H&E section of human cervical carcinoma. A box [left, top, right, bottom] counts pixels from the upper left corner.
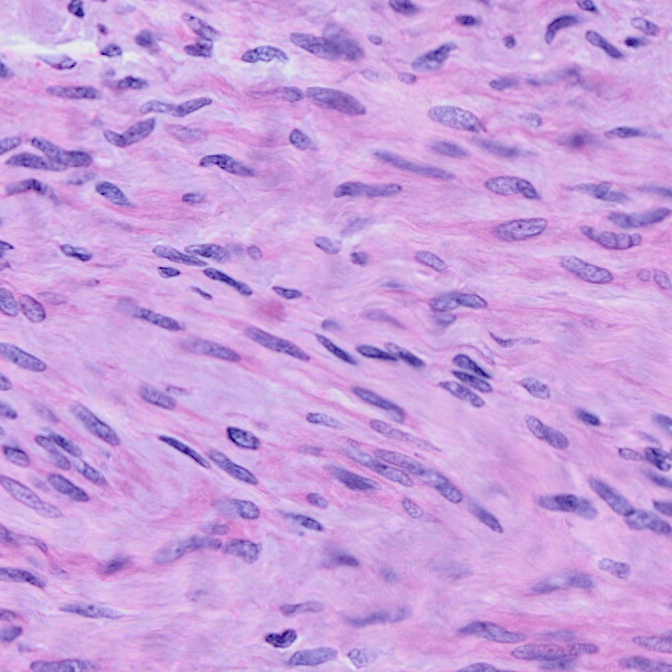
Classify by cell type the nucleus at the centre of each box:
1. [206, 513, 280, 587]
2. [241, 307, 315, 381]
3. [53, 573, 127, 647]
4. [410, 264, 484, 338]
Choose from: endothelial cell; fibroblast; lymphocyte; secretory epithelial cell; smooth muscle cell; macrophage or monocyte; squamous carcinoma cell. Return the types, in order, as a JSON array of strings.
["smooth muscle cell", "smooth muscle cell", "fibroblast", "smooth muscle cell"]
